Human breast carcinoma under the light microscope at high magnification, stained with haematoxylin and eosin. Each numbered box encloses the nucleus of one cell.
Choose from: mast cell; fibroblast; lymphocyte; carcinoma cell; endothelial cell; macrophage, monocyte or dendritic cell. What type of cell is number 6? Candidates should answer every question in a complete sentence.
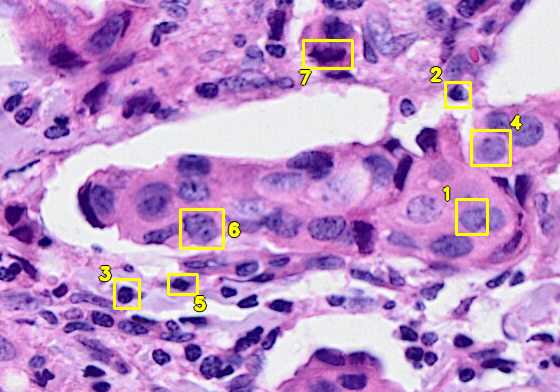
The cell identified by the number 6 is a carcinoma cell.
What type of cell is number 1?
Looking at the numbered marks, cell 1 is a carcinoma cell.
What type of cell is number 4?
It is as a carcinoma cell that the cell numbered 4 is identified.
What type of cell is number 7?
To a carcinoma cell belongs the nucleus marked 7.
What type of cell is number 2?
The correct answer for cell 2 is a lymphocyte.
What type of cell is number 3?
Heads up, the cell numbered 3 is a lymphocyte.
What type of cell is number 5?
Here, the cell given the number 5 is a lymphocyte.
